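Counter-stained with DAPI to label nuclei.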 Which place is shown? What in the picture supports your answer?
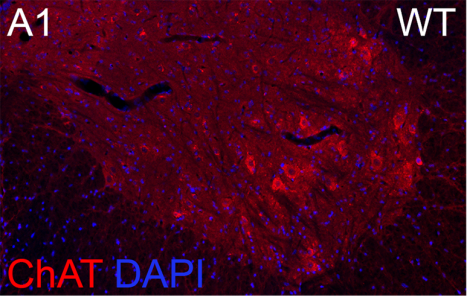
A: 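Ventral horns. A region of gray matter containing clusters of large multipolar neurons. Fibre-rich tissue surrounds the region.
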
